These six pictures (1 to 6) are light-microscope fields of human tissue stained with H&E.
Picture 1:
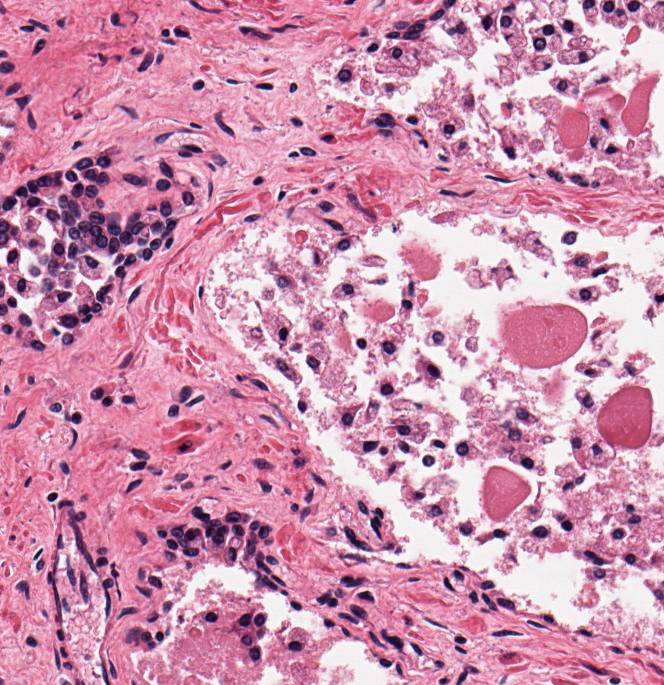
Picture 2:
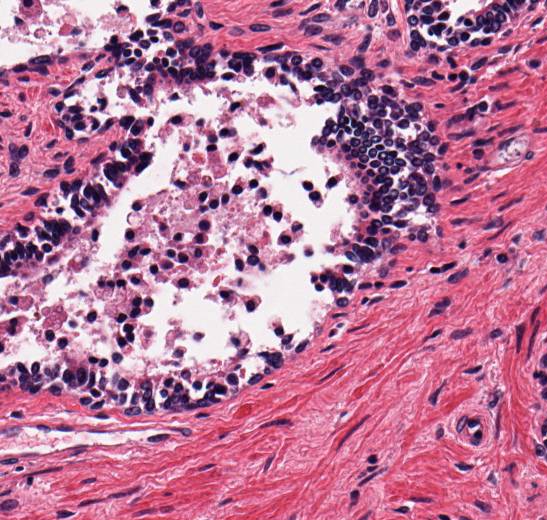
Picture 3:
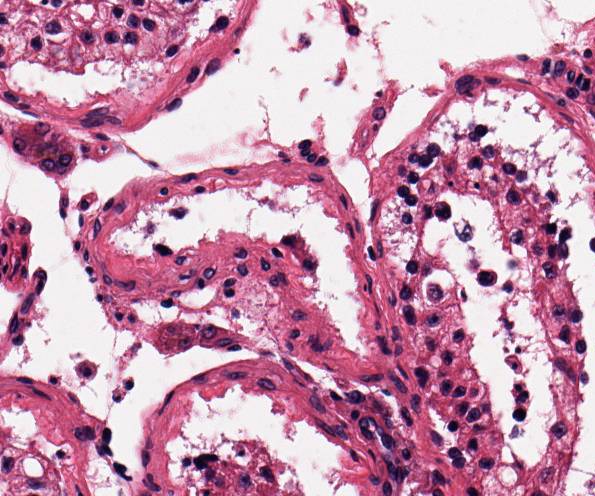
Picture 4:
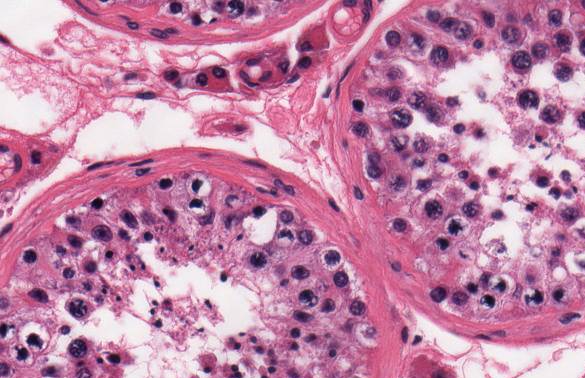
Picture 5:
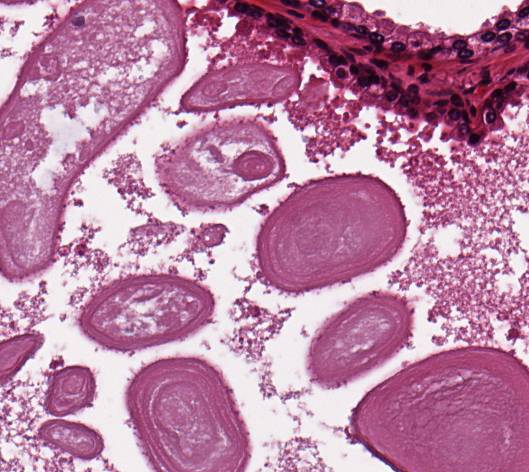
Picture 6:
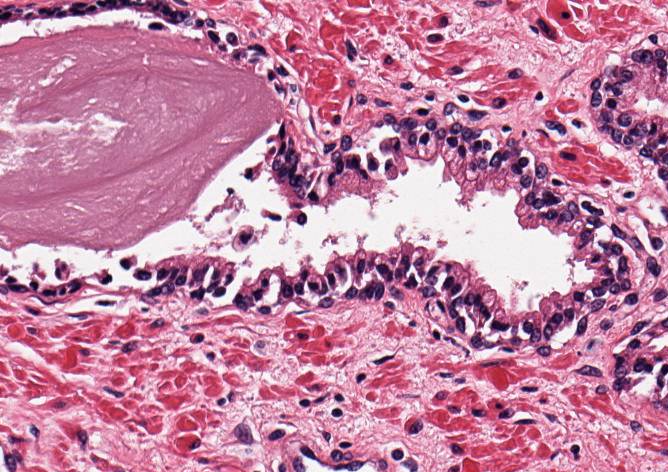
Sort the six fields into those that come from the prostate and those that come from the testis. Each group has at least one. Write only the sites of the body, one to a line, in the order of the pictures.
prostate
prostate
testis
testis
prostate
prostate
